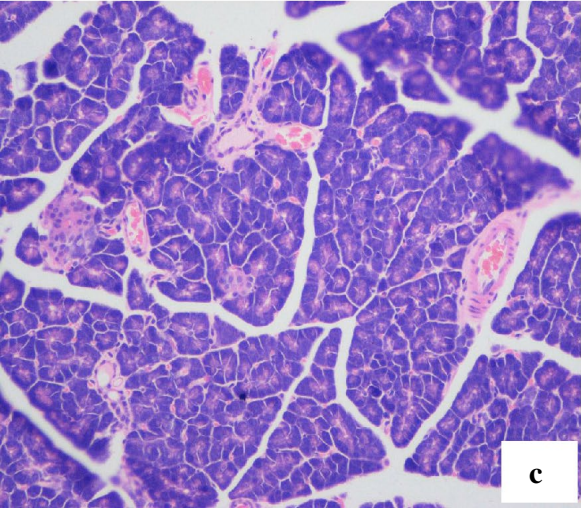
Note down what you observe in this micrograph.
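This is exocrine pancreas in which the lobules of acinar tissue are pulled apart by wide clear spaces. The acini are made of pyramidal cells with dark purple basal nuclei and paler apical cytoplasm, packed closely within each lobule. Between the lobules run strands of pink connective tissue carrying small blood vessels filled with red blood cells. Around some of these vessels and septa lie small clusters of nuclei that stand out from the acinar cells, suggesting cells infiltrating the interlobular areas. The lobules look smaller and more separated than in compact normal tissue.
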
